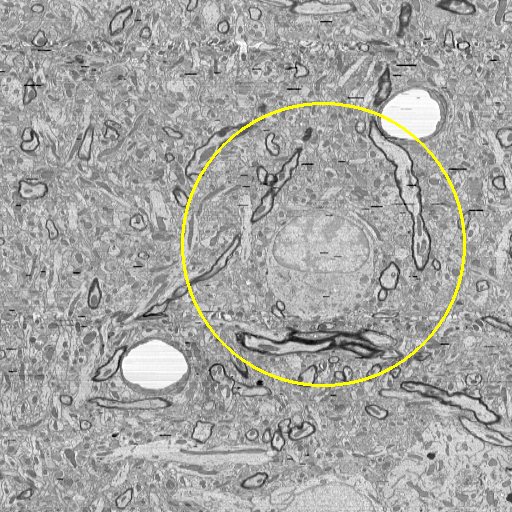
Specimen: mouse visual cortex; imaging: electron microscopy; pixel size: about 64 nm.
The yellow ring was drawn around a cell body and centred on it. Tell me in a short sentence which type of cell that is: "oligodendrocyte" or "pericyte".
The cell at the ring's centre is an oligodendrocyte.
